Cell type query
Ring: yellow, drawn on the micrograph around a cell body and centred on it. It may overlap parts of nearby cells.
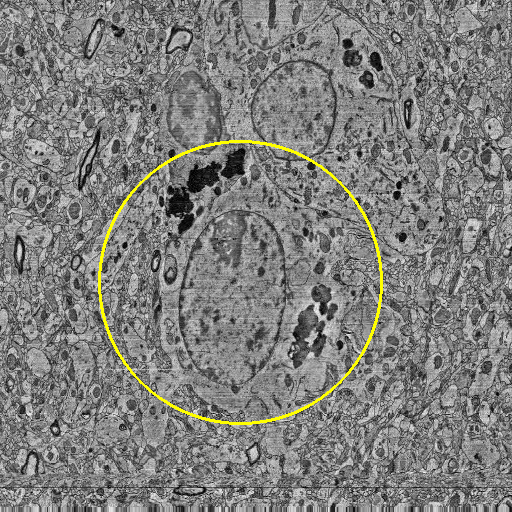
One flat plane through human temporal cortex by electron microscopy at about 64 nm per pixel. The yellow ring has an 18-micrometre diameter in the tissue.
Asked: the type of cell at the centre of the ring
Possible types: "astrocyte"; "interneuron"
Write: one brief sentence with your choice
The ring marks an astrocyte.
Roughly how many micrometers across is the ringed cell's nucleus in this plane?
In this plane, approximately 12 by 7 micrometers, and clearly longer than it is wide.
